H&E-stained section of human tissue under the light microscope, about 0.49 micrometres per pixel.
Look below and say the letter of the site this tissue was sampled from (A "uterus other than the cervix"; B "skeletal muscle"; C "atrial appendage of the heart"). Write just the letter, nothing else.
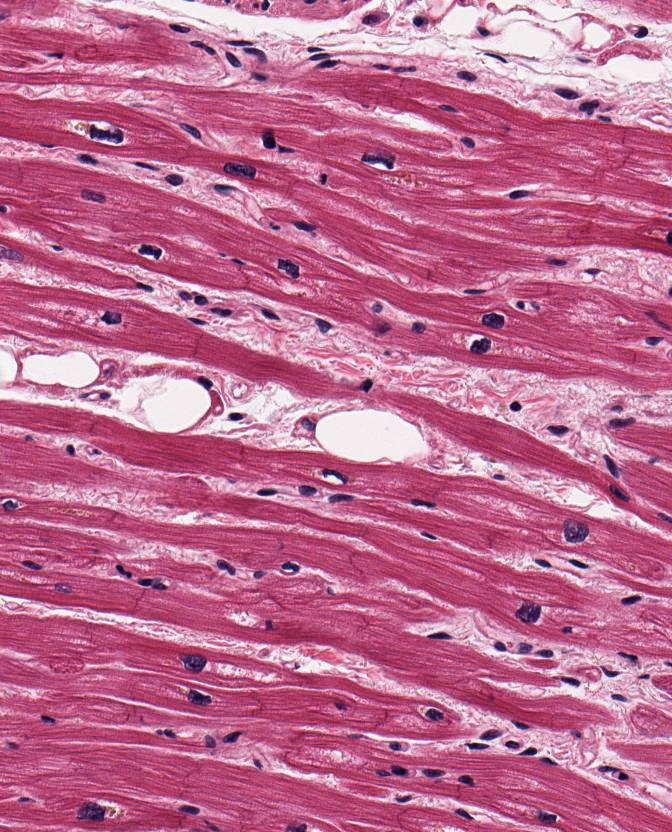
C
